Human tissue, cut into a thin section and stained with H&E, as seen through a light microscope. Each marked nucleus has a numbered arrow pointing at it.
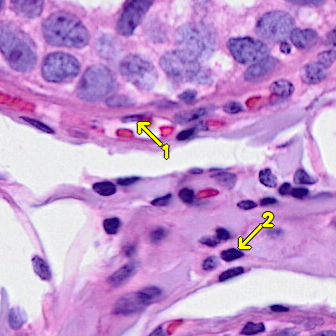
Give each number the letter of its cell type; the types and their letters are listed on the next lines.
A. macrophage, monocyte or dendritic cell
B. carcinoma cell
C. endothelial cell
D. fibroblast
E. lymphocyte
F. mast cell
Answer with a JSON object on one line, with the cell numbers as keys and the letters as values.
{"1": "C", "2": "E"}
